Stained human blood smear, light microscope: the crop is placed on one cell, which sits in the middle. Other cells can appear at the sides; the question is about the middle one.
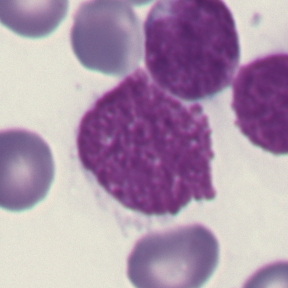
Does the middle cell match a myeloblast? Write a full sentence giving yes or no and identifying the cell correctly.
No, the centre cell is not a myeloblast but a smudge cell.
